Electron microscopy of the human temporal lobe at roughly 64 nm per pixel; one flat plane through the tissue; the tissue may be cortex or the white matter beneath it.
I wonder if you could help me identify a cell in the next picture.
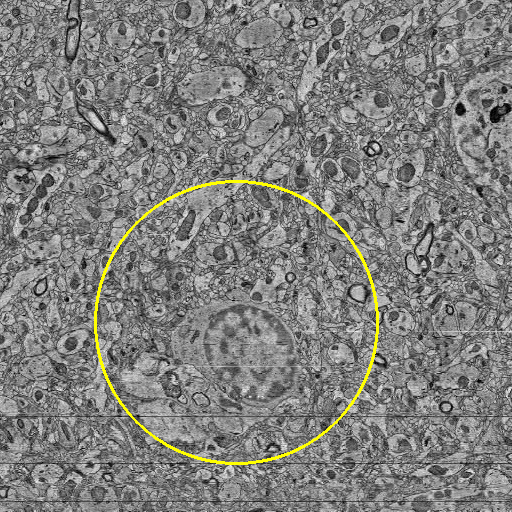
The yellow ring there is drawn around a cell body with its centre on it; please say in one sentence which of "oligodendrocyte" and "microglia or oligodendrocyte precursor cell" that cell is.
The yellow ring is centred on an oligodendrocyte.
